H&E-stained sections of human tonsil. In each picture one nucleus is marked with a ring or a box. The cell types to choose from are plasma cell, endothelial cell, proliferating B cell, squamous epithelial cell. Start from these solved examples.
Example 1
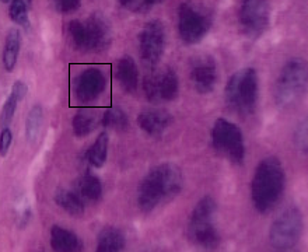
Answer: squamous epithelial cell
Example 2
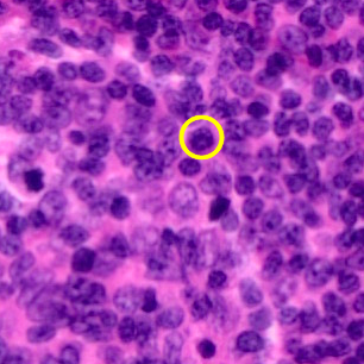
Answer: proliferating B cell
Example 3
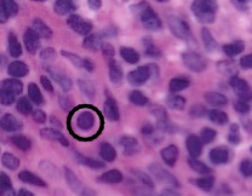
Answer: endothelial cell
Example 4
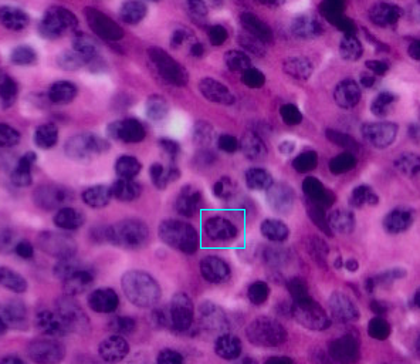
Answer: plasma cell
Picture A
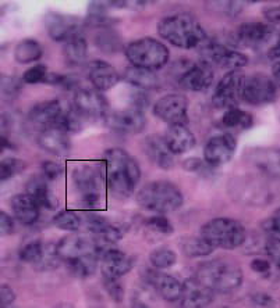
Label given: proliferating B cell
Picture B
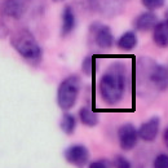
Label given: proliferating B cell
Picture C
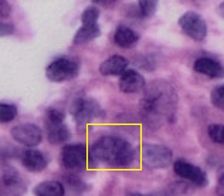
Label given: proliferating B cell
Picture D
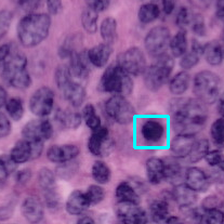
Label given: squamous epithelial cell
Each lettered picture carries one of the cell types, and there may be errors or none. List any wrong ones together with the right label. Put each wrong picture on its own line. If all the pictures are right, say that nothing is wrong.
D: change squamous epithelial cell to proliferating B cell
